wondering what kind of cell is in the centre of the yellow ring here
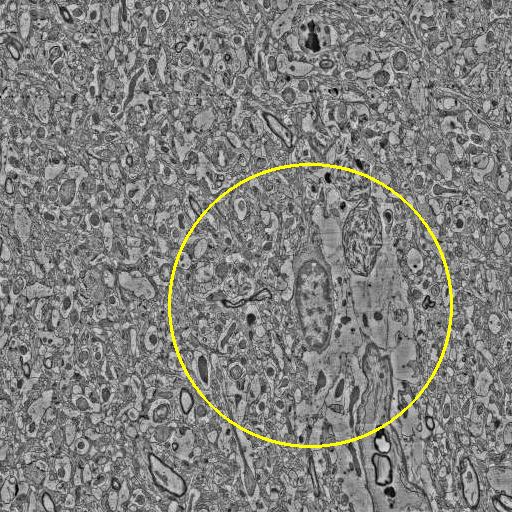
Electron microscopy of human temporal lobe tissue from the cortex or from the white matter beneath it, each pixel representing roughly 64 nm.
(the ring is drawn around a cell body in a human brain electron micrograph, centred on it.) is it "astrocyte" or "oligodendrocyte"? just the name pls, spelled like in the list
oligodendrocyte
